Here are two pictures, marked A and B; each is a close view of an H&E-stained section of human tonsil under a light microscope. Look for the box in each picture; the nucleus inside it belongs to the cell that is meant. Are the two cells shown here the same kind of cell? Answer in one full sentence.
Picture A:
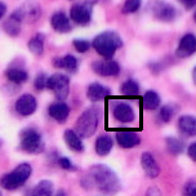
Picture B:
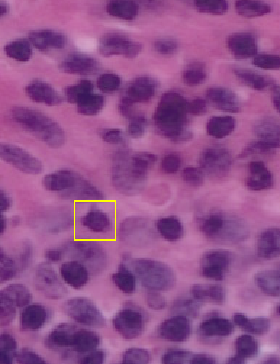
No, the types are not the same, since picture A shows a small lymphocyte and picture B an endothelial cell.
